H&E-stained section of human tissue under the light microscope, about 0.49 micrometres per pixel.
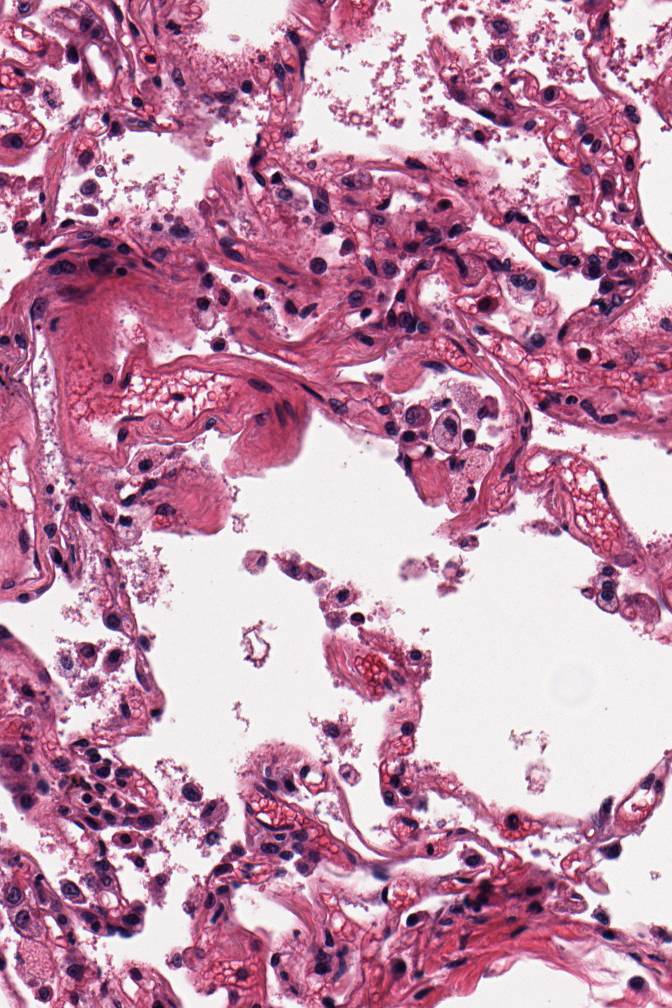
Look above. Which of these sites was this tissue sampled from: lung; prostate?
lung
